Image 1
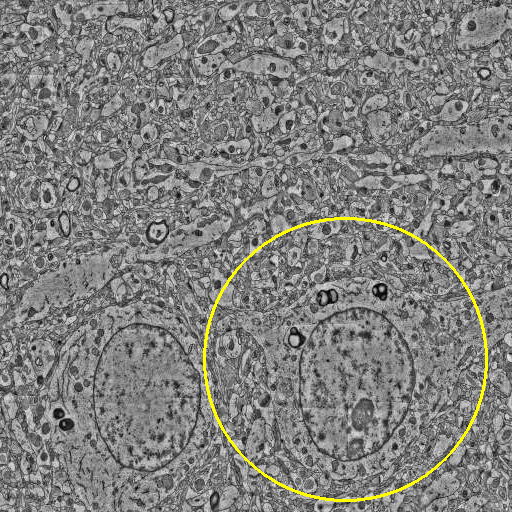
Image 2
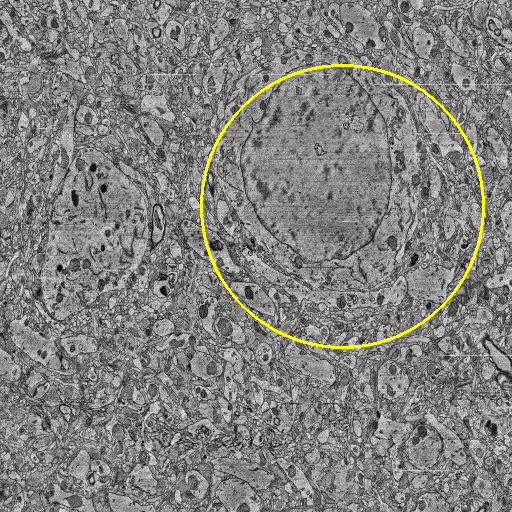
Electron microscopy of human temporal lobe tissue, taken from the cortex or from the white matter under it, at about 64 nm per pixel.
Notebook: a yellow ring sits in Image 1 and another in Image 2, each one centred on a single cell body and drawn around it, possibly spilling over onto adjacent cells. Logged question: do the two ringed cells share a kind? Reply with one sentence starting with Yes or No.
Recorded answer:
Yes, both centre cells inside the rings of Image 1 and Image 2 share one kind.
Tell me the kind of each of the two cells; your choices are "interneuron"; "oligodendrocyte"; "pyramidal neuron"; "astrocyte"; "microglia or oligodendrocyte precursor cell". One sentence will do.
Each cell at the centre of a ring is a pyramidal neuron.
